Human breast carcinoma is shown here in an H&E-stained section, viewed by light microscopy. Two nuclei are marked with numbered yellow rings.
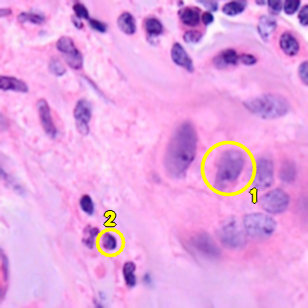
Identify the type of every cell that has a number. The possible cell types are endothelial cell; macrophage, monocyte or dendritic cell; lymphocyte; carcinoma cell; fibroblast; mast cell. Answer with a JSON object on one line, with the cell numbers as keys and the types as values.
{"1": "carcinoma cell", "2": "lymphocyte"}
